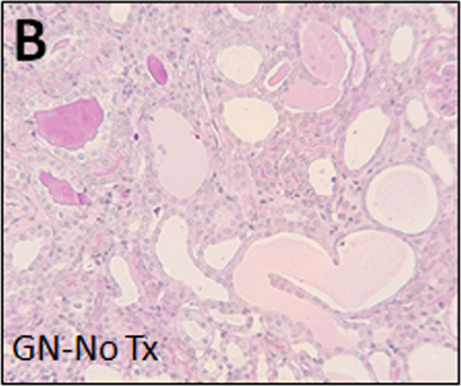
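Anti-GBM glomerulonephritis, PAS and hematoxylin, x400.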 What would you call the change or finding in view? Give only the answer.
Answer: Dilation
